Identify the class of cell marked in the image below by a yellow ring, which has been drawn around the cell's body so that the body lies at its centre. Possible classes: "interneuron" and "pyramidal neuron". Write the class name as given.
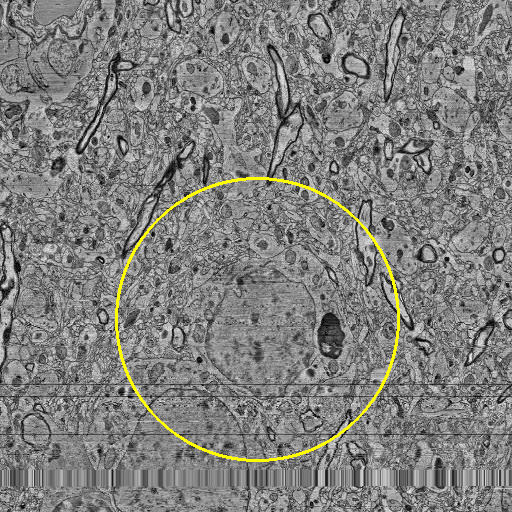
interneuron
